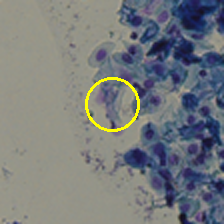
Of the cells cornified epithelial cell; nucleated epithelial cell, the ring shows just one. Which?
The ring shows a cornified epithelial cell.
